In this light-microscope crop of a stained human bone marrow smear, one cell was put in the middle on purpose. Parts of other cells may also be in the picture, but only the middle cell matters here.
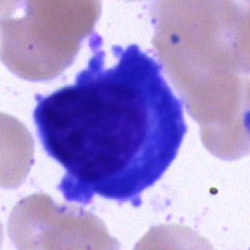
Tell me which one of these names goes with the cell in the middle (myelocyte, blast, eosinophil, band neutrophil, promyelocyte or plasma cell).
plasma cell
